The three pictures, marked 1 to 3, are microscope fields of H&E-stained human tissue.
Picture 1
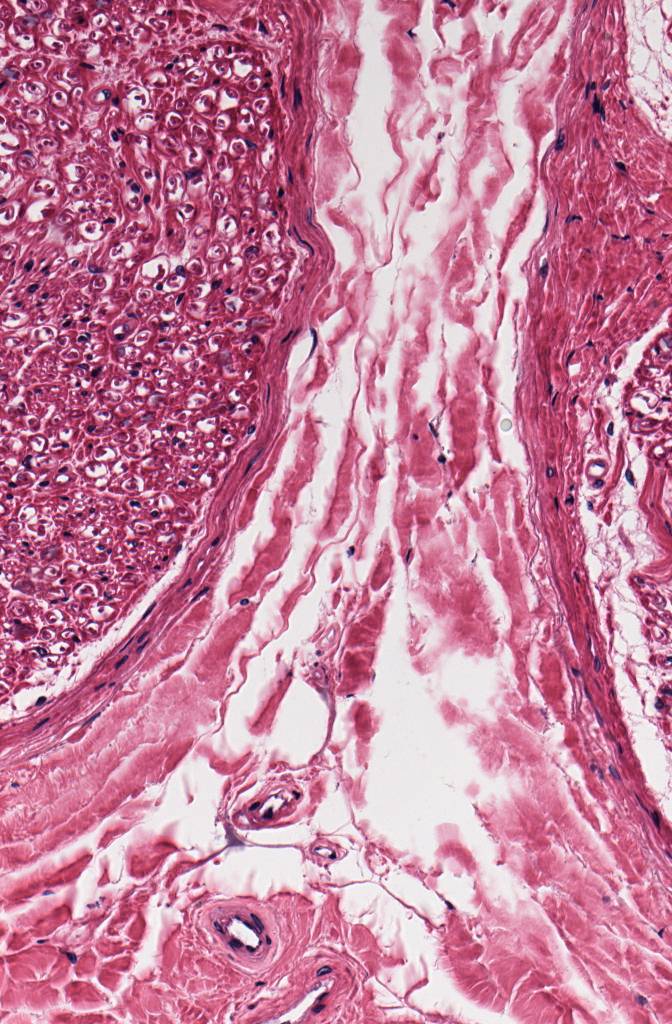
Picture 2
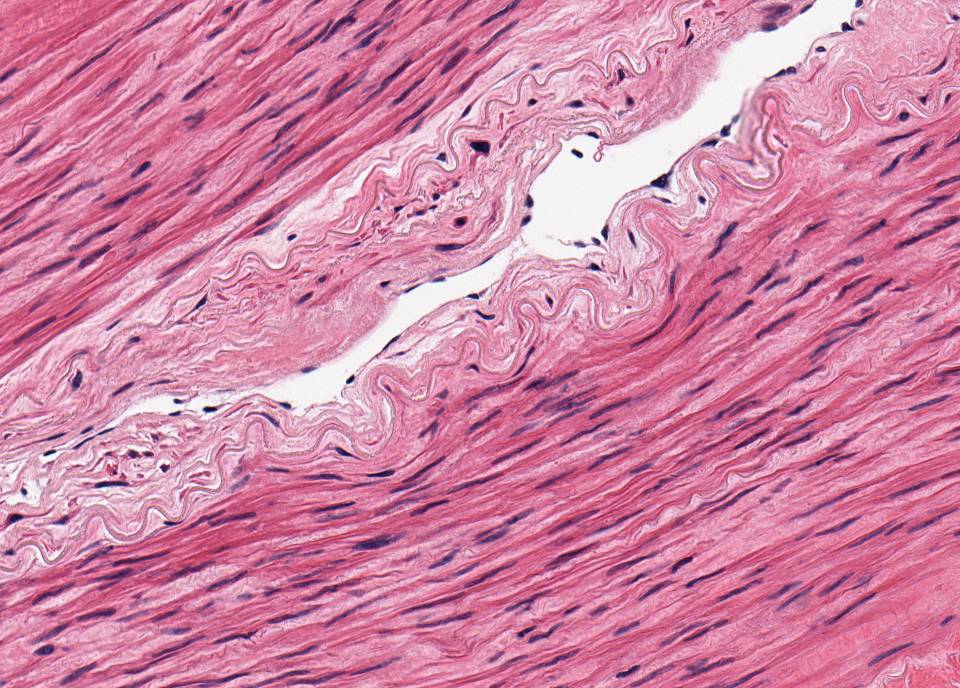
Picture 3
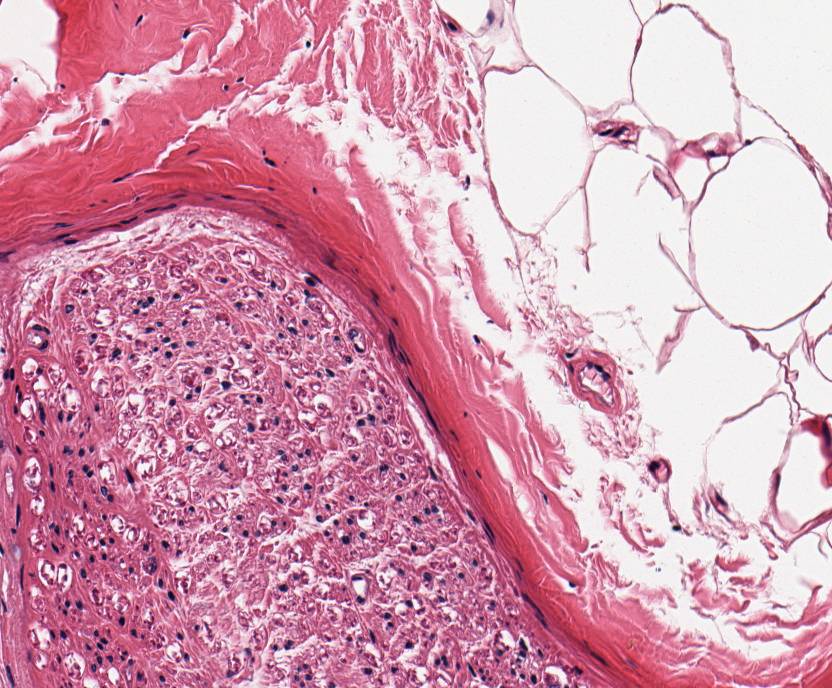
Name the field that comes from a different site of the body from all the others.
2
